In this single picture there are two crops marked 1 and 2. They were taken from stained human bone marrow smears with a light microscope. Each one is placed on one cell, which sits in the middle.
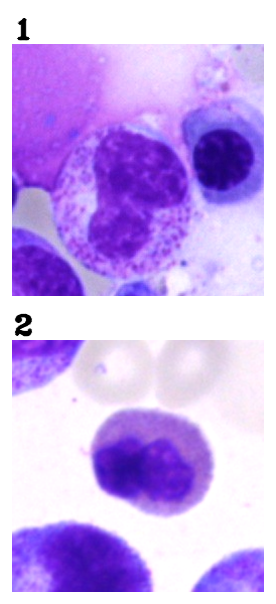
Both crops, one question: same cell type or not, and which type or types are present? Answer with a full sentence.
No, crop 1 carries a metamyelocyte at its centre, and crop 2 carries an eosinophil.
